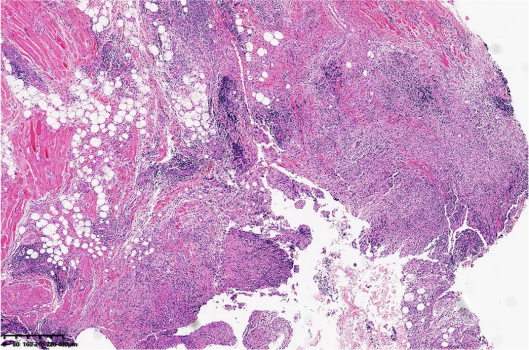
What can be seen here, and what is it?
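Dense, dark purple aggregates and sheets of closely packed nucleated cells occupy most of the field, in places forming rounded nodular clusters. Scattered among them are many round, empty-looking clear vacuoles of different sizes, grouped in clusters, especially toward the upper left. Bright pink bundles of fibrous or muscle tissue run along the upper and left margins and are separated by the infiltrate. Toward the lower centre the tissue is fragmented, with a paler pink amorphous area.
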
